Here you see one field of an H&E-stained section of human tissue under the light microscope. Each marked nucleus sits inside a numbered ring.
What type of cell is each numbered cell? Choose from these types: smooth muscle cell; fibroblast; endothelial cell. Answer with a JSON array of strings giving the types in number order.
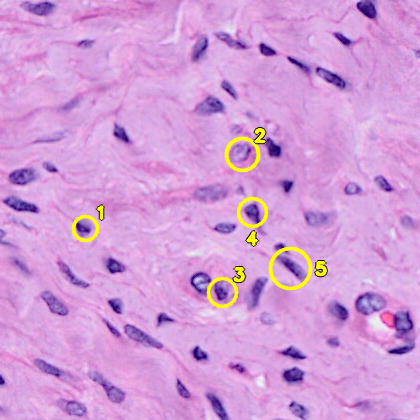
["fibroblast", "smooth muscle cell", "endothelial cell", "fibroblast", "fibroblast"]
